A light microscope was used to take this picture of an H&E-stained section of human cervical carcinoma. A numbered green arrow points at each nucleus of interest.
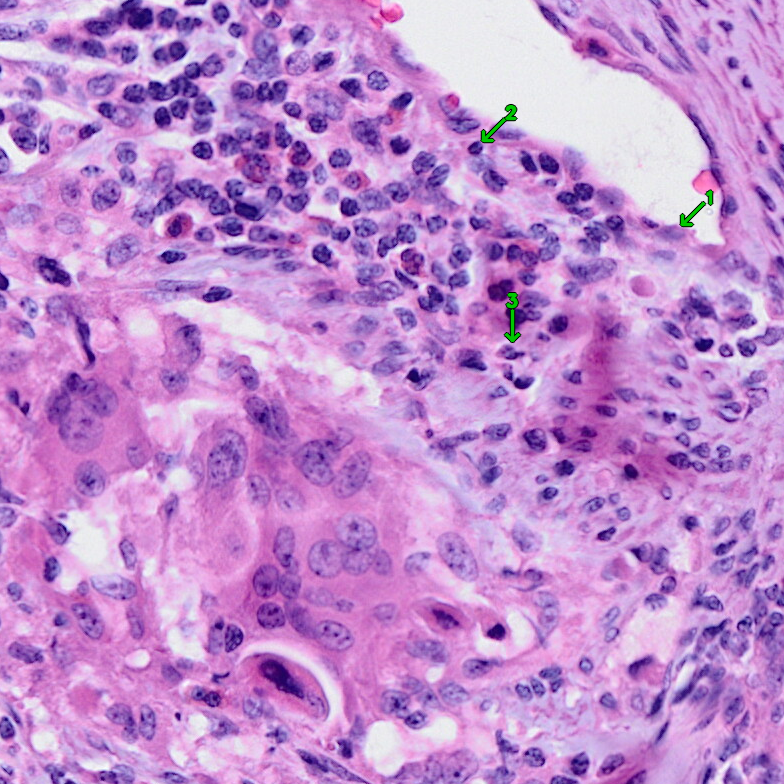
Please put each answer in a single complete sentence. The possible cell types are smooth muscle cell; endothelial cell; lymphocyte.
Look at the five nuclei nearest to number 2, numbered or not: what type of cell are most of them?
The majority of the five nuclei closest to number 2 belong to endothelial cells.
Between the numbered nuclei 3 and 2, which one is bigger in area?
The larger nucleus is 3, at roughly 1.5 times the area of 2.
